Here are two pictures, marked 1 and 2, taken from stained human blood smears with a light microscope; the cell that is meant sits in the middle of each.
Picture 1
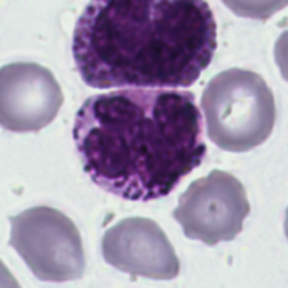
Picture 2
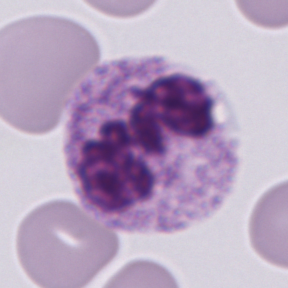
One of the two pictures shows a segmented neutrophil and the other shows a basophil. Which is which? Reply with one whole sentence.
Picture 2 shows a segmented neutrophil, while picture 1 shows a basophil.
